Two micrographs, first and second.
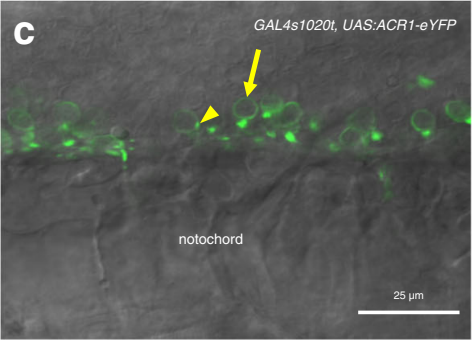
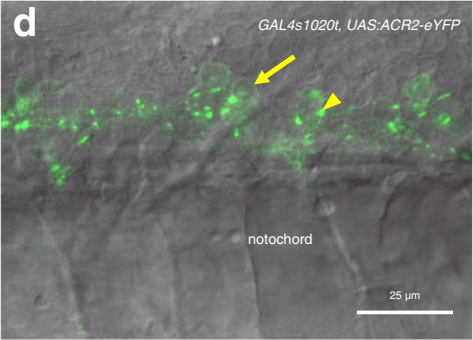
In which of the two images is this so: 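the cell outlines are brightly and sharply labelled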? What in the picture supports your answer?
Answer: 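The first image. Second image: outlines of the round cells are faint, with label mostly in bright dots.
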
